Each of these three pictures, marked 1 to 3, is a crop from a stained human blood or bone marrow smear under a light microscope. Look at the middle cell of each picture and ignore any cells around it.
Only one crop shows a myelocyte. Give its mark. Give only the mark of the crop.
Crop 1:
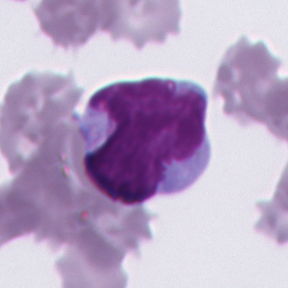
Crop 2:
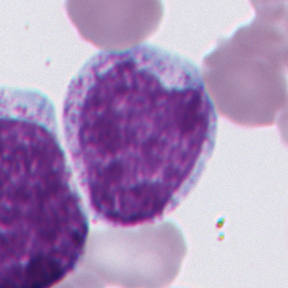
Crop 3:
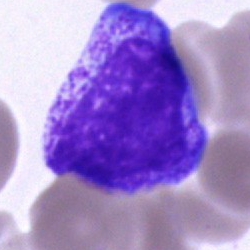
2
